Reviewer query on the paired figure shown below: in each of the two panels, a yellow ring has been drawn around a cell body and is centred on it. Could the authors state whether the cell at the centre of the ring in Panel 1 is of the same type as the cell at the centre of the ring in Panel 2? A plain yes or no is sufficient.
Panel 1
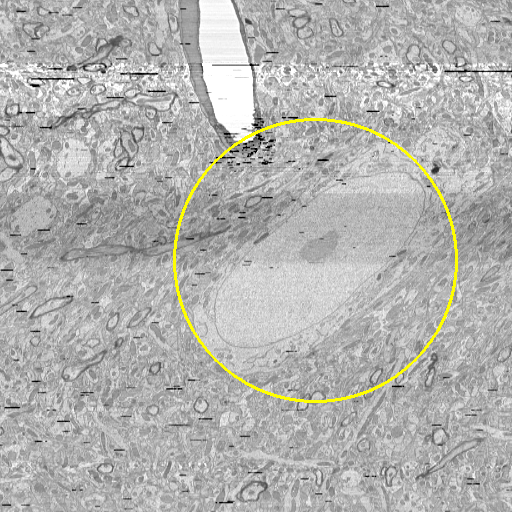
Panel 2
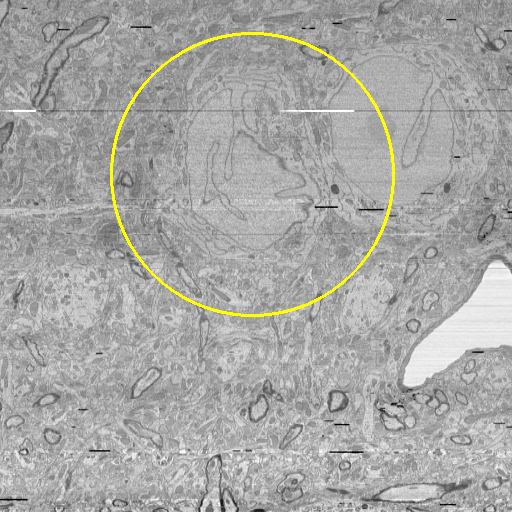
no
